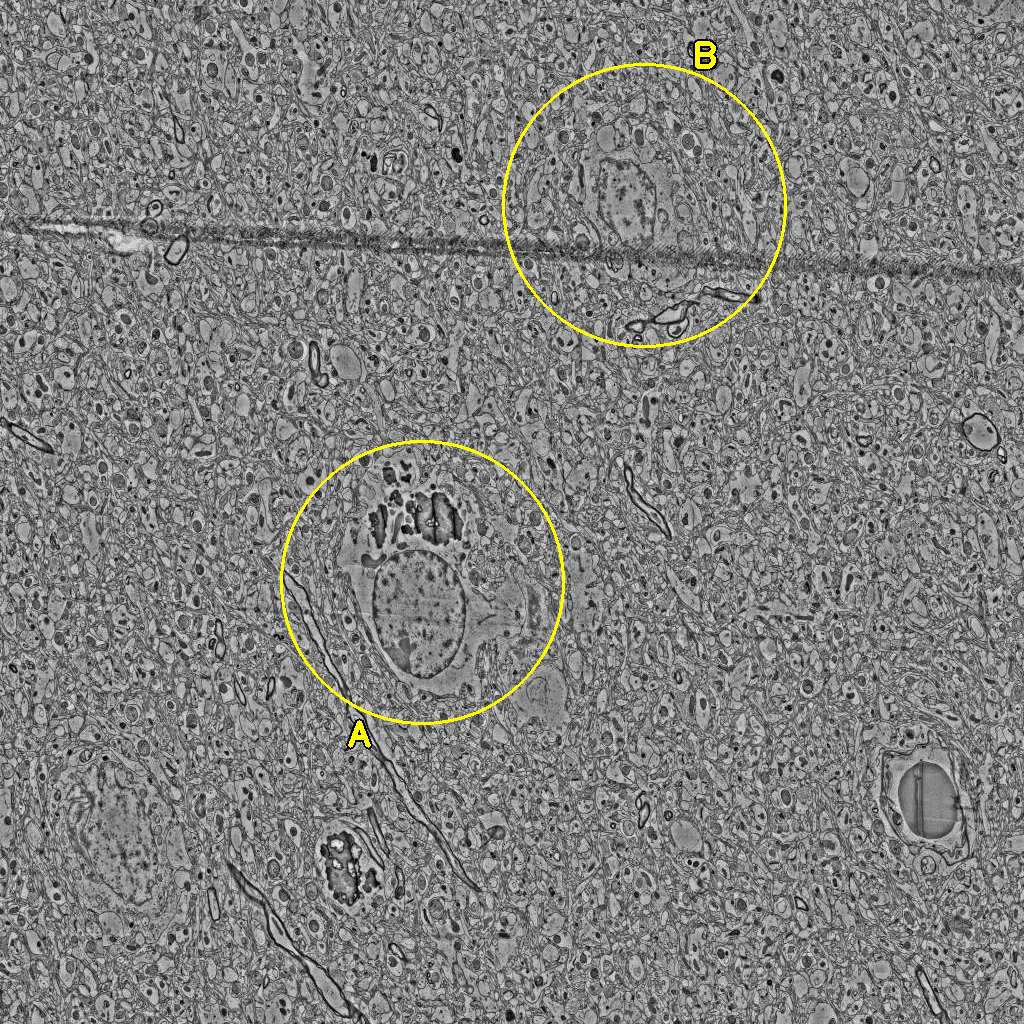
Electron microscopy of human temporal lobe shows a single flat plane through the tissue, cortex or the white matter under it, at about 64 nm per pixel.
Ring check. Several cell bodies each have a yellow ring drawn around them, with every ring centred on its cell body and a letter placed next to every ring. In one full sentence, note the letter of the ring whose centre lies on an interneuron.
At the centre of ring B lies the cell asked for in this check.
